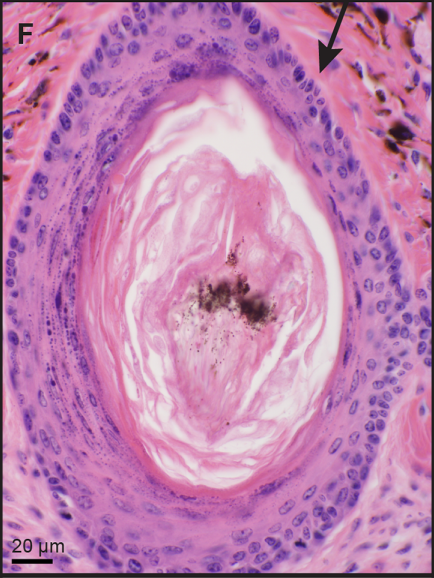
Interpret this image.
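This cross-section shows a dystrophic hair follicle. The follicle has a wall of several concentric layers of epithelial cells, which have oval purple nuclei and pink cytoplasm. The lumen is filled with pale pink, loosely layered keratin in place of an organized hair shaft. Clumps of dark brown-black pigment lie in the centre of the keratin, and scattered dark pigment is also seen in the pink tissue outside the follicle.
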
